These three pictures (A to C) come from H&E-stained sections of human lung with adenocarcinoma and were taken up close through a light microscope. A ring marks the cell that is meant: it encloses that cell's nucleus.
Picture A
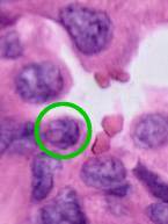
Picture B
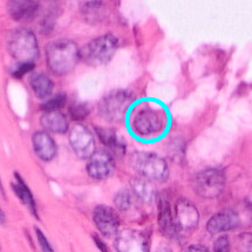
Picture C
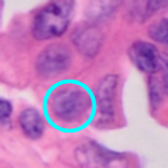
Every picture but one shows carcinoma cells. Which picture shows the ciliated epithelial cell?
B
